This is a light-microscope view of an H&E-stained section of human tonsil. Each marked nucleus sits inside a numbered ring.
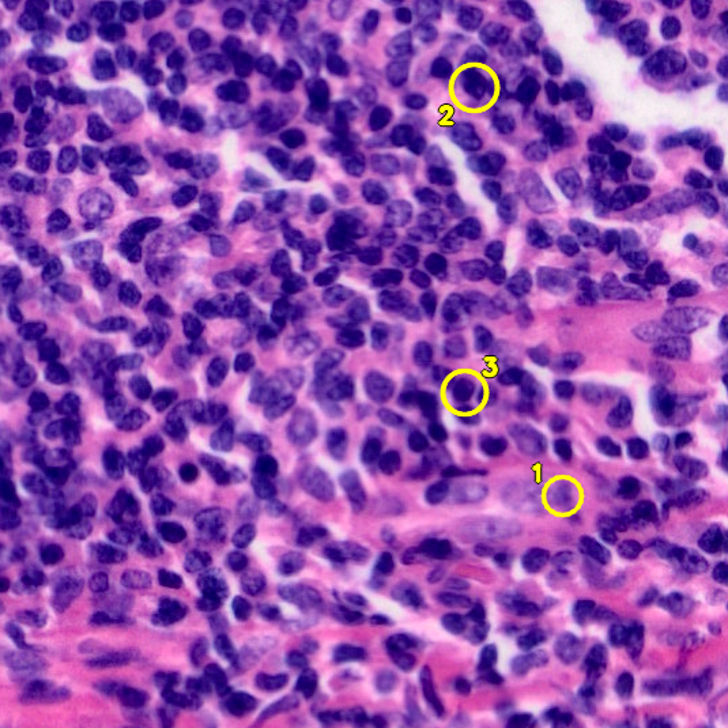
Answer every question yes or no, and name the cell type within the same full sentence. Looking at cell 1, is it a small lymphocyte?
No, with respect, cell 1 is an endothelial cell rather than a small lymphocyte.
